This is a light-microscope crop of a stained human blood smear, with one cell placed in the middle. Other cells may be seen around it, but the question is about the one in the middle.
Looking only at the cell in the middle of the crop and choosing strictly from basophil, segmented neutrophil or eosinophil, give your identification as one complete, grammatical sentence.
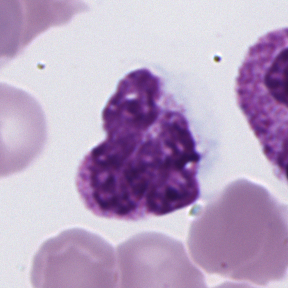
The cell nearest the centre of this crop is a segmented neutrophil.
